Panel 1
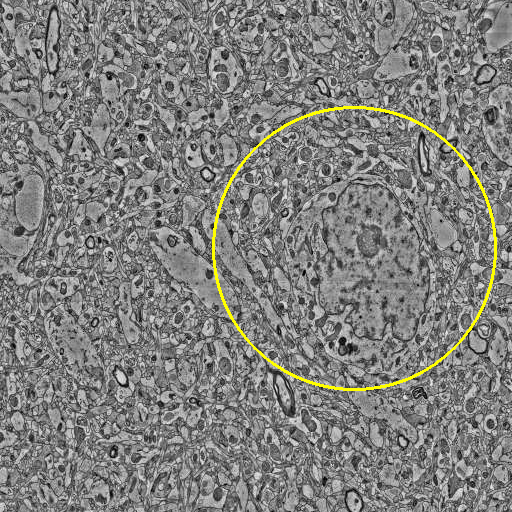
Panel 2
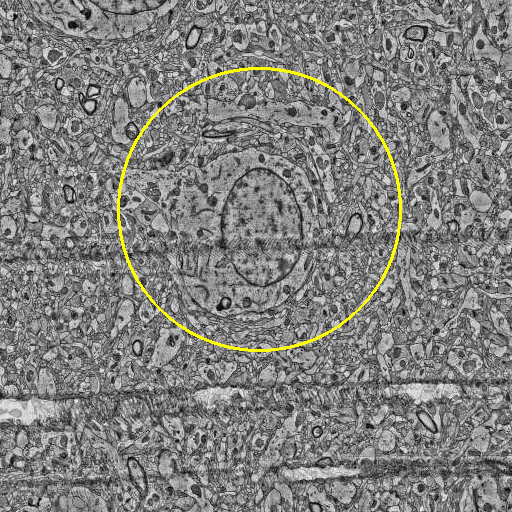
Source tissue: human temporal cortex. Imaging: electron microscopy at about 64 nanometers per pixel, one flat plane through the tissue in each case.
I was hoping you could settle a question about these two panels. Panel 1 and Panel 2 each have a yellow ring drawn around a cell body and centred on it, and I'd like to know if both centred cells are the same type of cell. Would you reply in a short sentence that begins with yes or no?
No, they are two types of cell.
